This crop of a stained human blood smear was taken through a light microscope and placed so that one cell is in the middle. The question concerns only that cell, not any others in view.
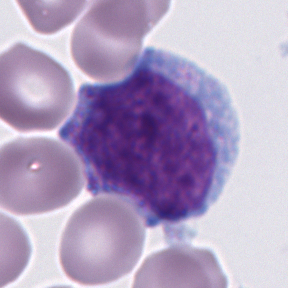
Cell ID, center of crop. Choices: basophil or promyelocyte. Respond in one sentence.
Positioned in the middle of the crop is a promyelocyte.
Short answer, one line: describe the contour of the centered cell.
An uneven margin is present, with either ragged stretches or outward projections.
